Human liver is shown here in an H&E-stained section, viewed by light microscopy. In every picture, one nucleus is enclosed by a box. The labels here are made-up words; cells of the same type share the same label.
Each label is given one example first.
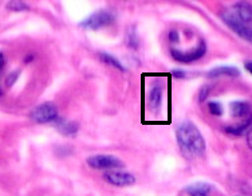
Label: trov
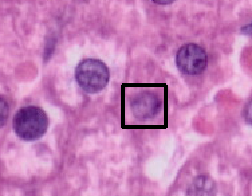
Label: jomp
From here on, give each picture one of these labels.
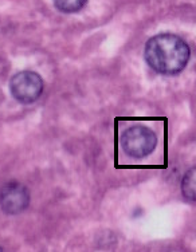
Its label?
jomp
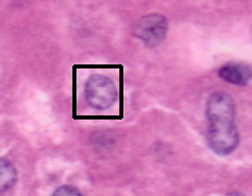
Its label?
jomp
